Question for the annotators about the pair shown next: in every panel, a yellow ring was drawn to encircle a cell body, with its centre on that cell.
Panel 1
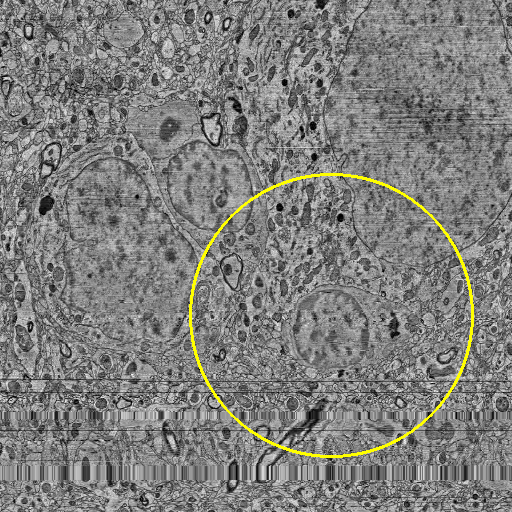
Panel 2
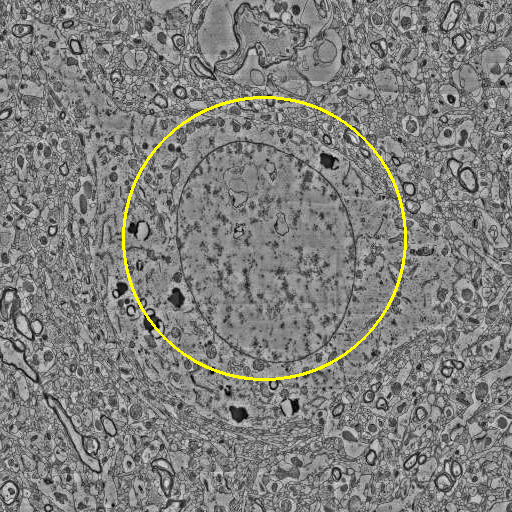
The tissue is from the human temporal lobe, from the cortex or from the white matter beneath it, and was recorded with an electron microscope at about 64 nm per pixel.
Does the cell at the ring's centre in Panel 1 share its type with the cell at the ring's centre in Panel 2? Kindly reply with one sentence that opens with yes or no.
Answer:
No, in Panels 1 and 2 the cells at the ring centres belong to separate types.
